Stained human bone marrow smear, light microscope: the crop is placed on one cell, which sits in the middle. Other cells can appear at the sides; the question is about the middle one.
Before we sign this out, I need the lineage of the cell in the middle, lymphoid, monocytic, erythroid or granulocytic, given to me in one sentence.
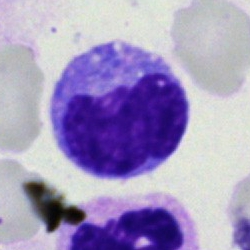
As for the middle cell, it is a member of the monocytic lineage.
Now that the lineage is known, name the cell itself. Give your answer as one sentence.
The cell nearest the centre of this crop is a monocyte.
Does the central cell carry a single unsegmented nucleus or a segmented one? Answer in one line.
In this cell the nucleus is a solitary compact mass, round, oval or kidney-shaped.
